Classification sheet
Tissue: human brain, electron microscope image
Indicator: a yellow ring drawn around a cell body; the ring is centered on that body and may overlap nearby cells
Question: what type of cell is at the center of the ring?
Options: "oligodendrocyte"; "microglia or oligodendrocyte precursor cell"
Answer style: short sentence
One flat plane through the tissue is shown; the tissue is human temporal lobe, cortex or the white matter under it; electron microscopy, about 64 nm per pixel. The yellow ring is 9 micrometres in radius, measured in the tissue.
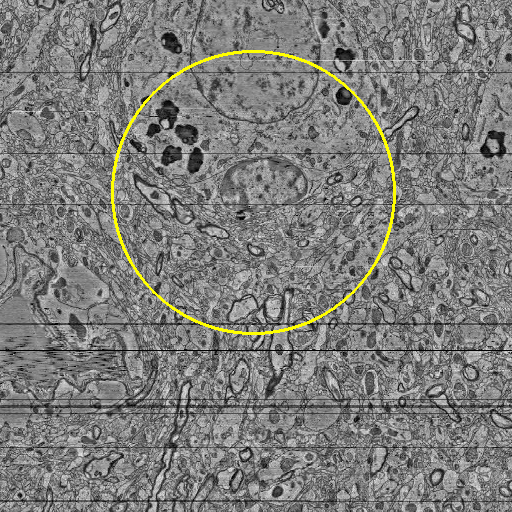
At the ring's center is a microglial cell or oligodendrocyte precursor cell.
